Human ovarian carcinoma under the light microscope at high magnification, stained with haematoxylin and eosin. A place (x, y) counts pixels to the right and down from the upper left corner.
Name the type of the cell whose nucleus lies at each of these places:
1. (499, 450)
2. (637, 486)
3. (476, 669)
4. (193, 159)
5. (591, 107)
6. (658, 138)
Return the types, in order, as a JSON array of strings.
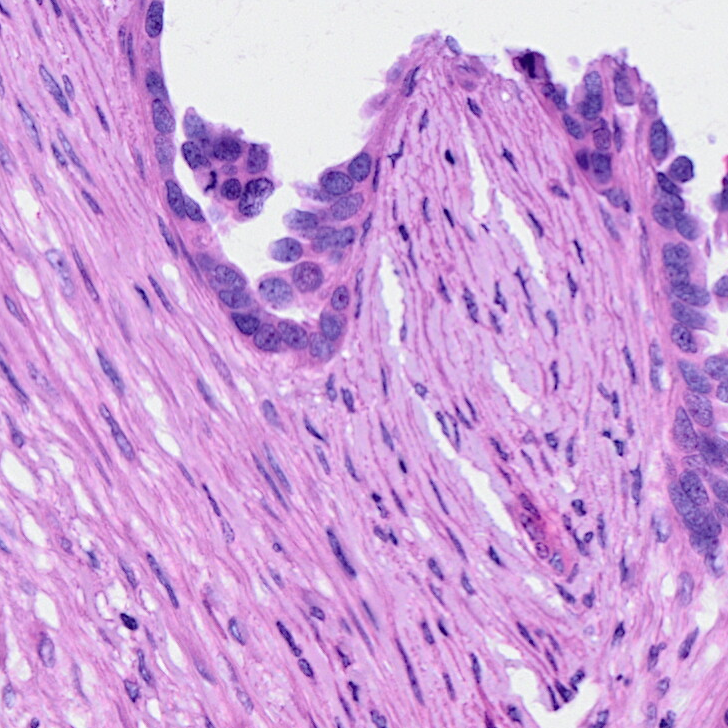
["fibroblast", "fibroblast", "fibroblast", "carcinoma cell", "carcinoma cell", "carcinoma cell"]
